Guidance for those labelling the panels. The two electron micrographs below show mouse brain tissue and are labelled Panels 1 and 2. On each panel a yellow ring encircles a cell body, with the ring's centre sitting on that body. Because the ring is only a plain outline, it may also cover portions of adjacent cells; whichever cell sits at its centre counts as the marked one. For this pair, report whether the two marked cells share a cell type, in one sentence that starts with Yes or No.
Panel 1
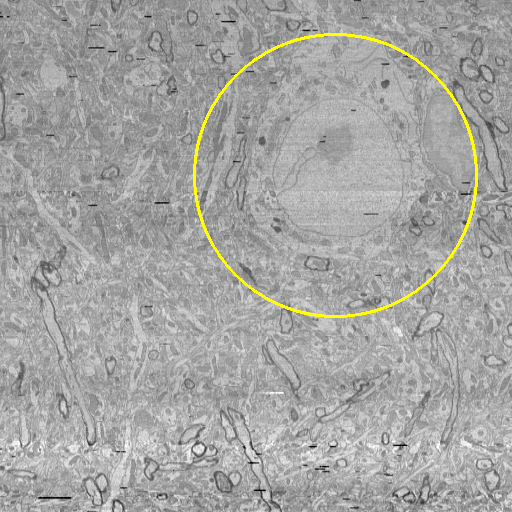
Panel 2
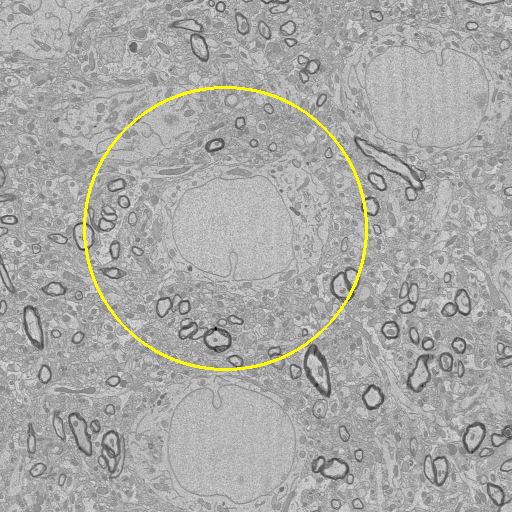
Yes, in Panel 1 and Panel 2 the marked cells at the ring centres share one type.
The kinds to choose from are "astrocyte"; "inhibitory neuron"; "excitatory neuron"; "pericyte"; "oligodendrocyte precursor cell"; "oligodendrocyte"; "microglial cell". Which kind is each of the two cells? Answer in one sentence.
In each picture the ringed cell is an excitatory neuron.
